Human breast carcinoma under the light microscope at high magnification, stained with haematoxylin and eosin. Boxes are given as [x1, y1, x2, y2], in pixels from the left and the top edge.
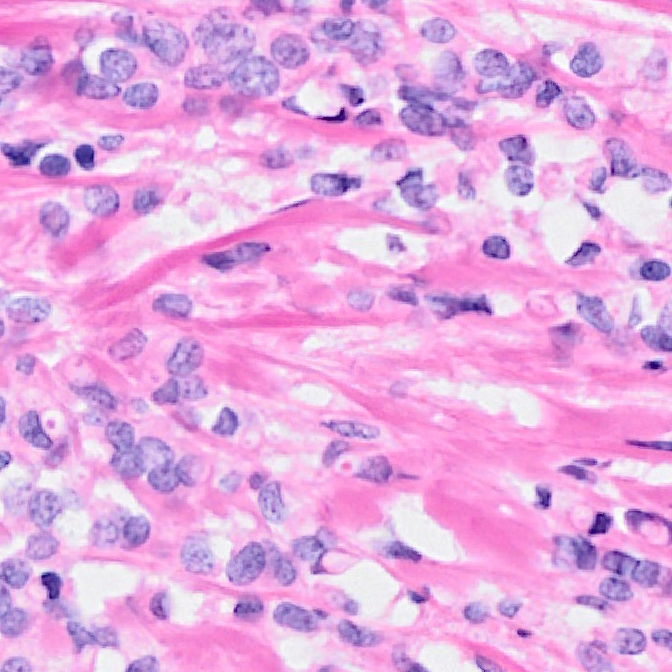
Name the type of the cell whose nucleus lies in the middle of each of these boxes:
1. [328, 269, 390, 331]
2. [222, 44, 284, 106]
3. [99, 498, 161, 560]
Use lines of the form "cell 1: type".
cell 1: endothelial cell
cell 2: carcinoma cell
cell 3: carcinoma cell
